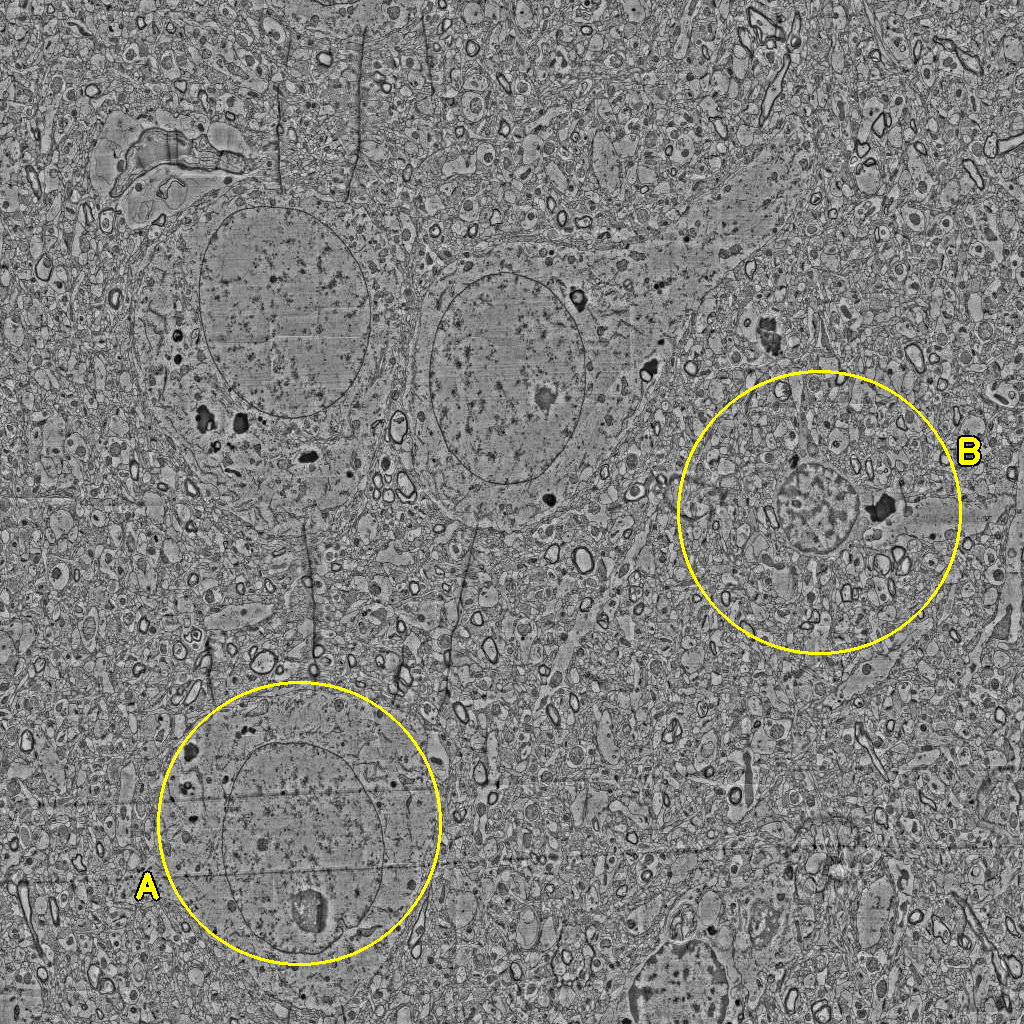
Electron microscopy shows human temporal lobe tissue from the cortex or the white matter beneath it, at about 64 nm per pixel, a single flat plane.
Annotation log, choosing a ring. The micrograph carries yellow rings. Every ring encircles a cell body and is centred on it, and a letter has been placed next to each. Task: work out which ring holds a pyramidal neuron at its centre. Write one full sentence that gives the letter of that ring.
In the micrograph, the ring centred on the cell asked for carries the letter A.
